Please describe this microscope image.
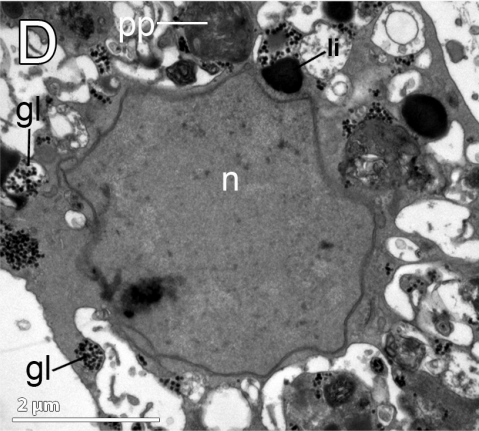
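This is a nurse cell seen at high magnification, its centre filled by a large, evenly grey nucleus with a gently lobed outline and a small dark clump of chromatin. Around it lies a thin rim of cytoplasm holding clusters of tiny black glycogen particles, a round dense lipid droplet and heterogeneous protein platelets. The cell's surface is irregular, bordered by many pale vesicles and processes.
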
